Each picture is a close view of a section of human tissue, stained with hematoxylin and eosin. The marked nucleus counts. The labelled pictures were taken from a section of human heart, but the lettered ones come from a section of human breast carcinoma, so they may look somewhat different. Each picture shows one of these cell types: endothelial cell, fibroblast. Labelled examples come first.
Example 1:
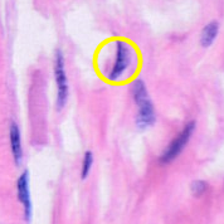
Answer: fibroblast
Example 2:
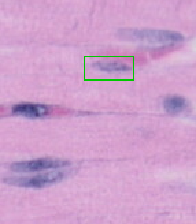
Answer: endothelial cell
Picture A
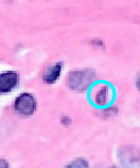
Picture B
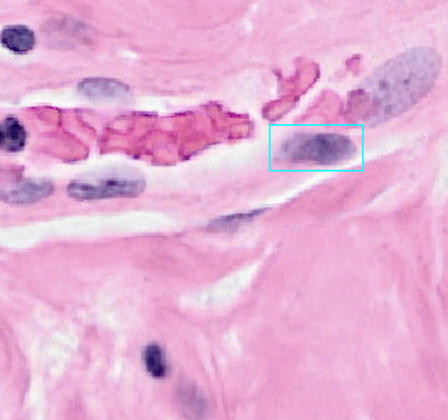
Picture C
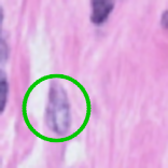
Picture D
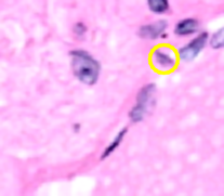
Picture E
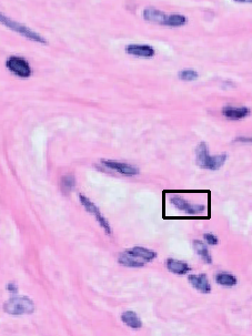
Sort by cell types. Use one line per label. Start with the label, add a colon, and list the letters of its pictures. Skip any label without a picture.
endothelial cell: A, B, D, E
fibroblast: C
